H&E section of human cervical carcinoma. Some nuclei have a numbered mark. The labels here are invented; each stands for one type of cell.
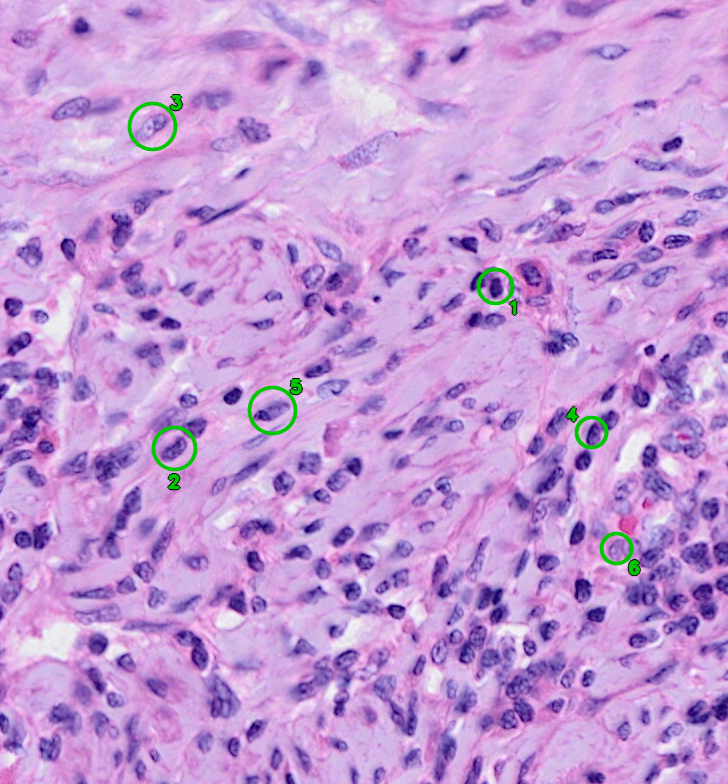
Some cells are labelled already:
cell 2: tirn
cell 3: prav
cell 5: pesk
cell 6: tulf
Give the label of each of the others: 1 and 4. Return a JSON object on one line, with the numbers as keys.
{"1": "tirn", "4": "tirn"}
